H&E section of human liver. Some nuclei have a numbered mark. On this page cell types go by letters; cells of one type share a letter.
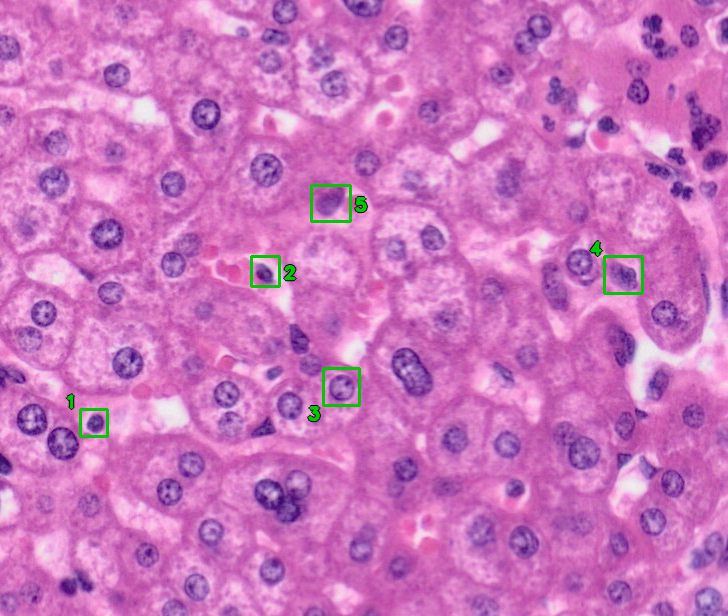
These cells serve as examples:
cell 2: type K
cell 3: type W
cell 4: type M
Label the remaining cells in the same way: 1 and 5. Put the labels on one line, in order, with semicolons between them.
type K; type M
